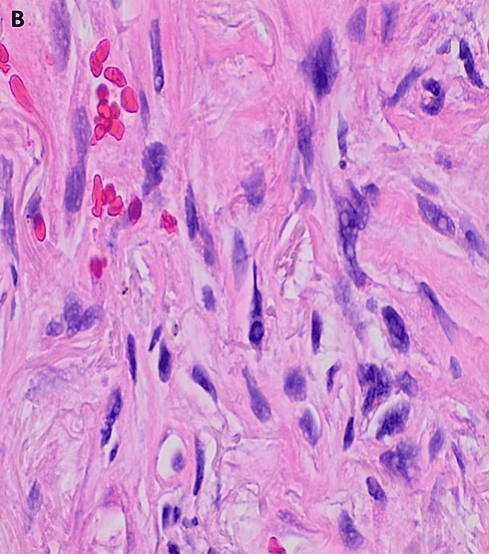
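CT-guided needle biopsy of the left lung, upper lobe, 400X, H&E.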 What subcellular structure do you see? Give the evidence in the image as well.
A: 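Bizarre nuclei. Nuclei are enlarged, dark and irregular in outline. Nuclei vary markedly in size and shape from cell to cell. Some nuclei are lobed or clustered.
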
